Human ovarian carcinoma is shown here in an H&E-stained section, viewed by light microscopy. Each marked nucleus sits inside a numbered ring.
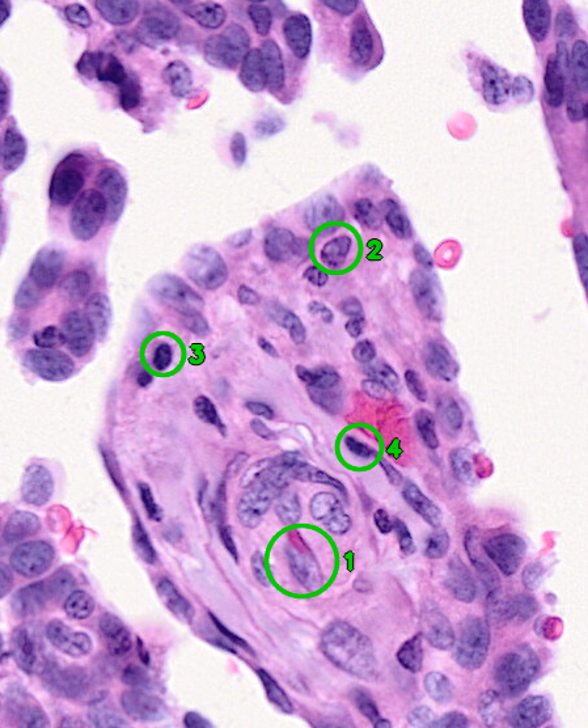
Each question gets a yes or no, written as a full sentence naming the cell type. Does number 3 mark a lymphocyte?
Yes, the cell pointed out as number 3 is a lymphocyte.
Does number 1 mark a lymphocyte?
No, cell 1, which is an endothelial cell, is not a lymphocyte.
